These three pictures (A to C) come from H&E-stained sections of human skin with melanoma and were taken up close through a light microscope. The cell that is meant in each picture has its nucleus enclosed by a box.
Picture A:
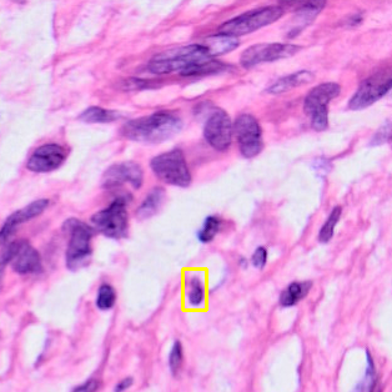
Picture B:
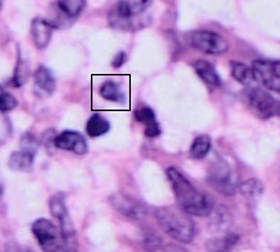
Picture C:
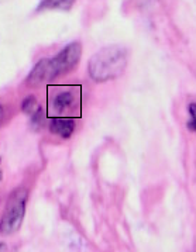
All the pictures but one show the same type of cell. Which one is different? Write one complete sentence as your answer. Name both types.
The different one is picture C; it shows an endothelial cell, whereas all the others show lymphocytes.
